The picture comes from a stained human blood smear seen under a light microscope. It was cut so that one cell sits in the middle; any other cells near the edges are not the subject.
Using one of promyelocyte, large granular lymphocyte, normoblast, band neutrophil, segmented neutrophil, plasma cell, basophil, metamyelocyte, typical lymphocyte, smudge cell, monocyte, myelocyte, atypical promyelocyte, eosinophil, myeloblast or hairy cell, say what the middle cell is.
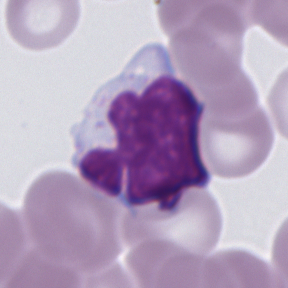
large granular lymphocyte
